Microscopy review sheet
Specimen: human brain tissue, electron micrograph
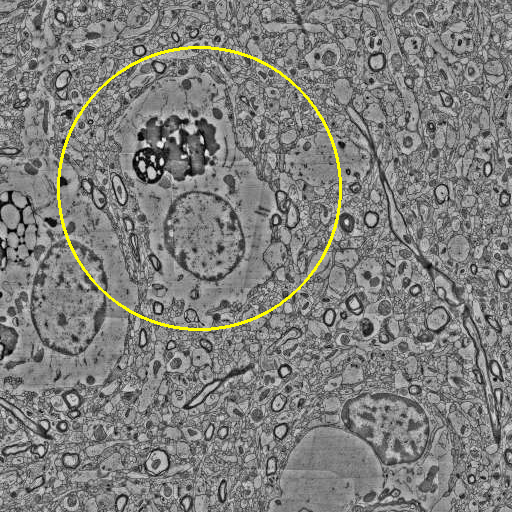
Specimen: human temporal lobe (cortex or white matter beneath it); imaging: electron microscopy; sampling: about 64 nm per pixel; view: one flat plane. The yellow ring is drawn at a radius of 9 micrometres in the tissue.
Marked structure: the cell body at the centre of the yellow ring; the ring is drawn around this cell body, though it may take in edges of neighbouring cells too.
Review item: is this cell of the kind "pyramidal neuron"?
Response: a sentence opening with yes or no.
No, this cell is of another kind.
